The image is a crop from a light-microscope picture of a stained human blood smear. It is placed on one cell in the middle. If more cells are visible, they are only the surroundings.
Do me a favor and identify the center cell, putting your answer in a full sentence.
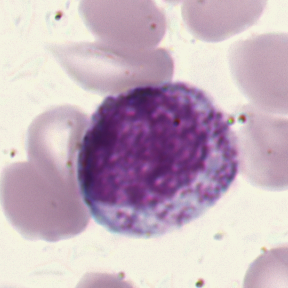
What the crop centres on is a myelocyte.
